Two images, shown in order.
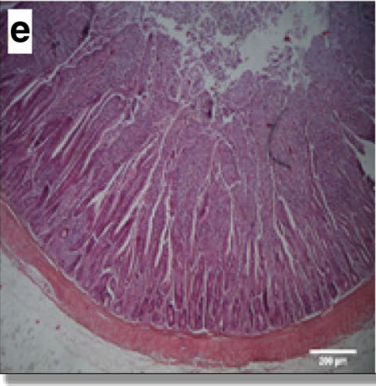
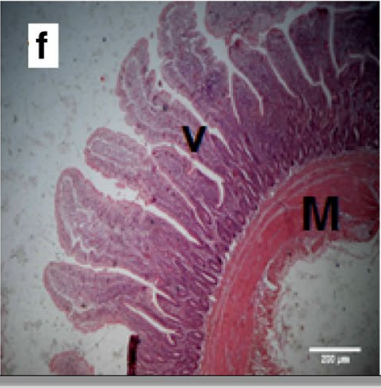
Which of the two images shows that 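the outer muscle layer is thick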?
The second image.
